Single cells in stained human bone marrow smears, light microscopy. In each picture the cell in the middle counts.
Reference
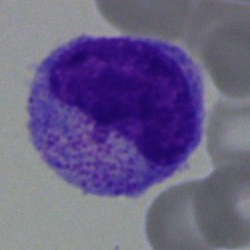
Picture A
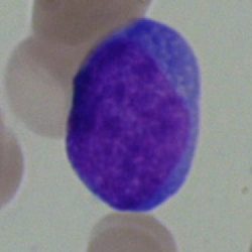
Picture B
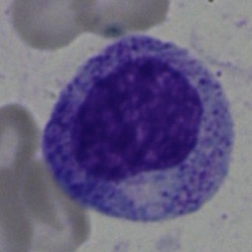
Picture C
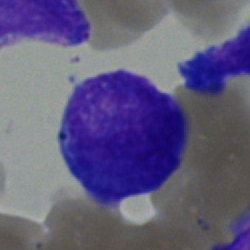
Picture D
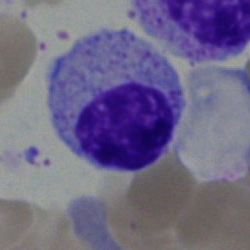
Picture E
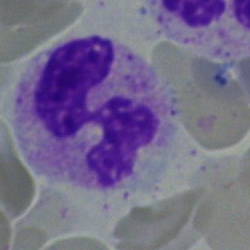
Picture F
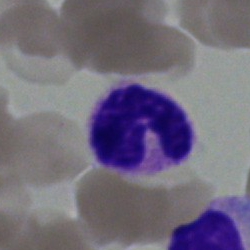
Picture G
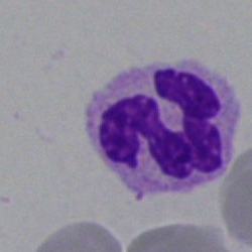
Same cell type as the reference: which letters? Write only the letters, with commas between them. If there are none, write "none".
B, D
